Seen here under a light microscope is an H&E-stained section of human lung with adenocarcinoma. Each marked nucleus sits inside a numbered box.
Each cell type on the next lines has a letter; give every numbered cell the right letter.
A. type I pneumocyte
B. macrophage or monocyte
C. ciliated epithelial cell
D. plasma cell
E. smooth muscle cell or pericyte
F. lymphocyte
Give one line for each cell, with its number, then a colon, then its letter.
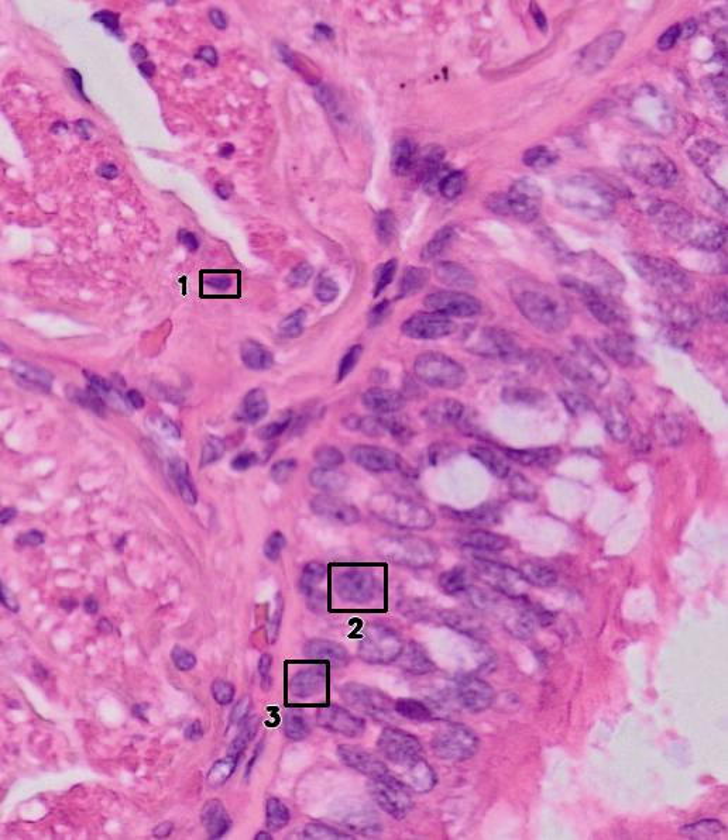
1: E
2: C
3: C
